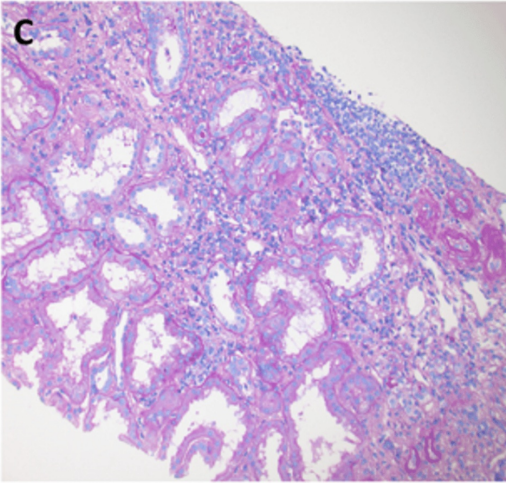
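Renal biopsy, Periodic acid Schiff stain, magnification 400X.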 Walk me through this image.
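This is kidney tubulointerstitium in which many small, round, dark blue nuclei of inflammatory cells fill the spaces between tubules. The infiltrate is densest toward the upper right and thins among the tubules elsewhere. The tubules have magenta-outlined basement membranes, and many have pale, vacuolated or frothy-looking cytoplasm with irregular lumens.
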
